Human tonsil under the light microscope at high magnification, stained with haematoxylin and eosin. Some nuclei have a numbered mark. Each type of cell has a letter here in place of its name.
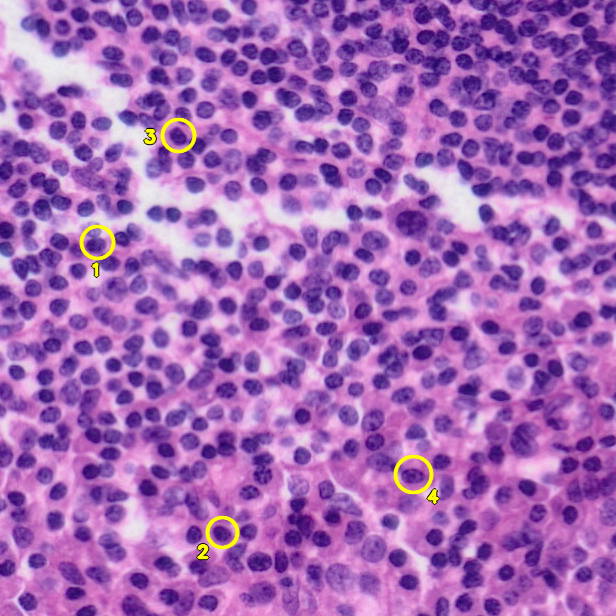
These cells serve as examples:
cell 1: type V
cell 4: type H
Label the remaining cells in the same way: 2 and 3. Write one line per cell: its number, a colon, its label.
2: type H
3: type V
